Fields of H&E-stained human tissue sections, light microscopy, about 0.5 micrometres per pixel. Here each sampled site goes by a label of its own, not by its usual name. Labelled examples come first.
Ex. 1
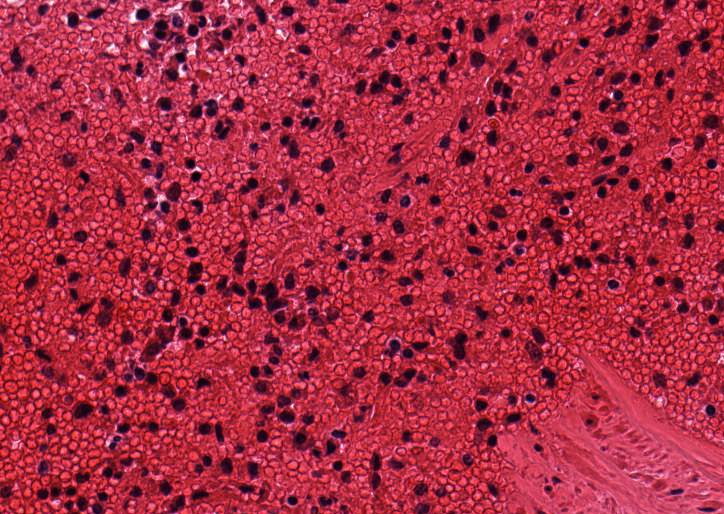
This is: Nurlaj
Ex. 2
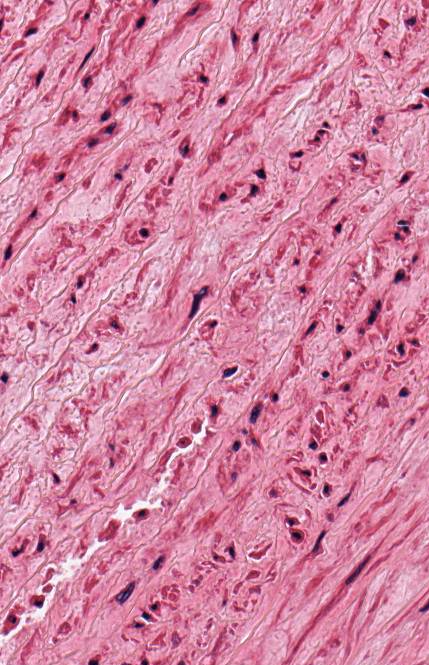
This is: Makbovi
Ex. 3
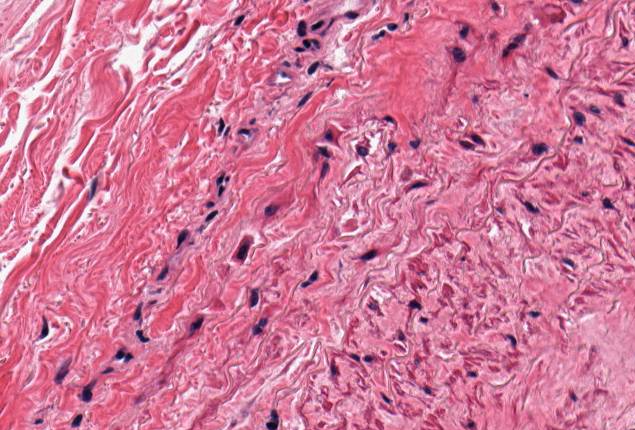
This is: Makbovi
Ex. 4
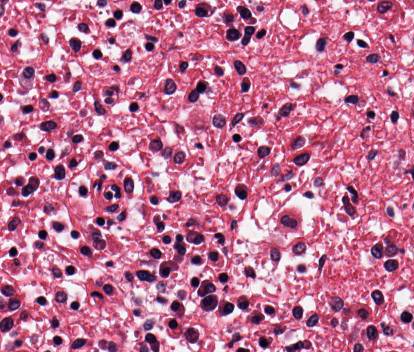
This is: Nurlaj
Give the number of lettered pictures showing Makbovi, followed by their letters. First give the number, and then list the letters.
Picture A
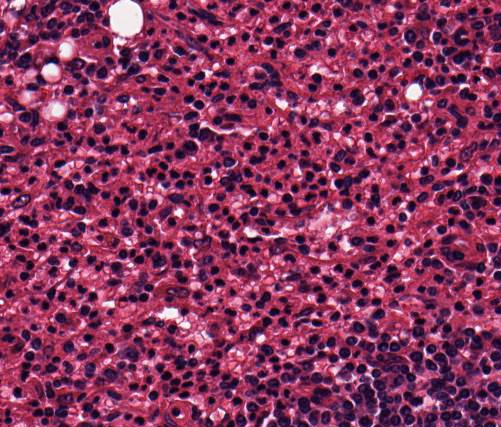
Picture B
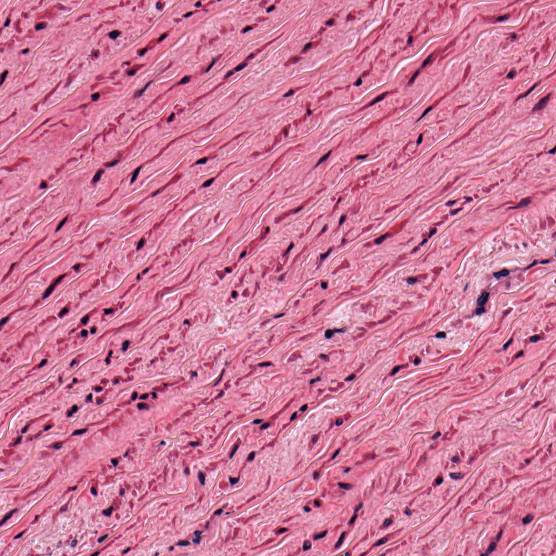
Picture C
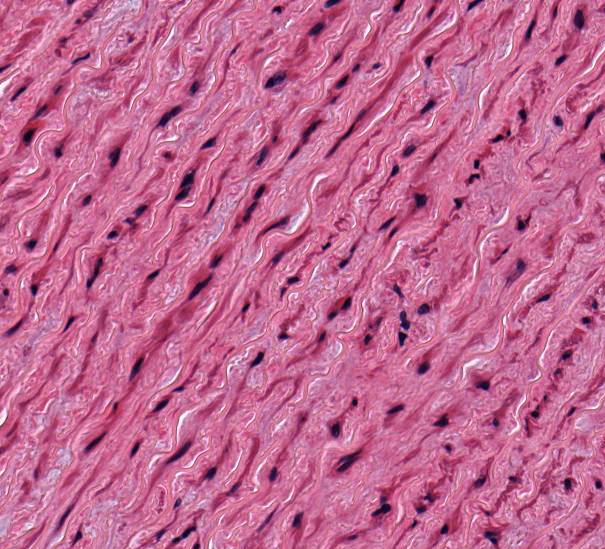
2: B, C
